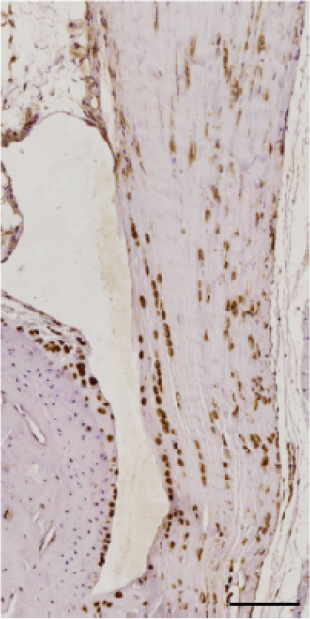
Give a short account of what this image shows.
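Longitudinal section of tendon with its attachment. The tendon runs as a broad band of aligned pale fibres holding rows of elongated nuclei, many of them dark brown. To the left, a zone of rounded cells in a purple matrix, cartilage-like, carries a line of strongly brown nuclei along its edge. A wide pale cleft separates this zone from the tendon. Loose, fibrous tissue with brown-stained cells lies at the upper left.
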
